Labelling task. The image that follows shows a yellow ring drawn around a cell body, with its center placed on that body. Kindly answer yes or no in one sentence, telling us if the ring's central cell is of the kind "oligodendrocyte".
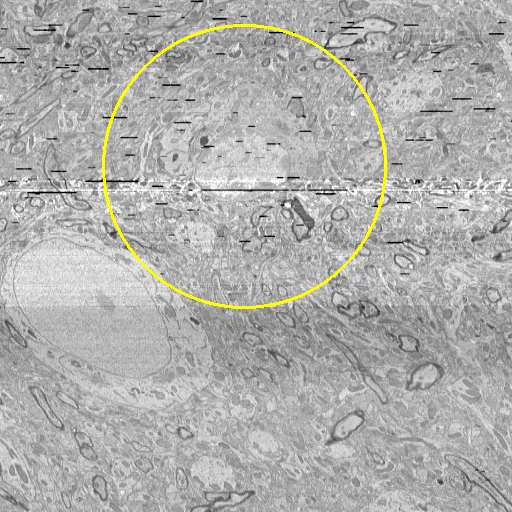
Yes, in this image the cell at the ring's center is of that kind.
